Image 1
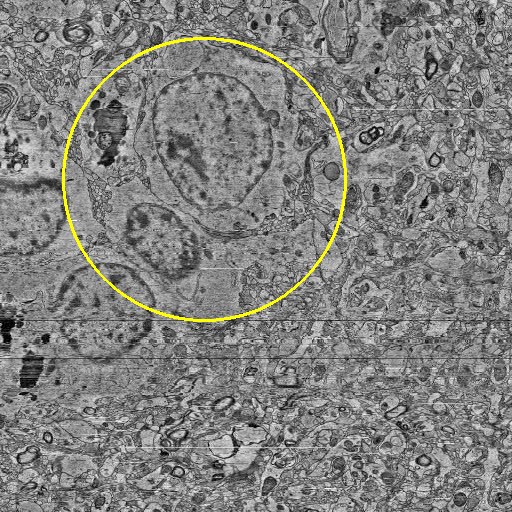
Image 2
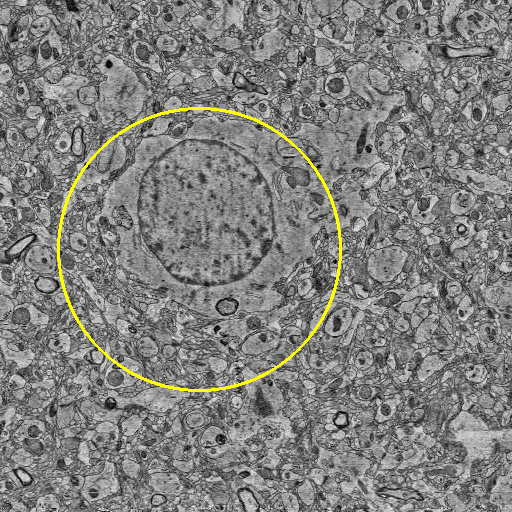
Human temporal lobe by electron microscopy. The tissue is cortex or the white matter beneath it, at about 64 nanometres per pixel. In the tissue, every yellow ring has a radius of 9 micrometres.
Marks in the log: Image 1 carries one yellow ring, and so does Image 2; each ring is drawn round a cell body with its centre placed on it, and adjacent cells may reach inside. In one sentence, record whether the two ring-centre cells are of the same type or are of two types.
The two cells at the ring centres, one in each image, are of the same type.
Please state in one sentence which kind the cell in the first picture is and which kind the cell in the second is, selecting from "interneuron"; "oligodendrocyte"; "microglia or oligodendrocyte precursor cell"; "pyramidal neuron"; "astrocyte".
The first and the second cell are each an astrocyte.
